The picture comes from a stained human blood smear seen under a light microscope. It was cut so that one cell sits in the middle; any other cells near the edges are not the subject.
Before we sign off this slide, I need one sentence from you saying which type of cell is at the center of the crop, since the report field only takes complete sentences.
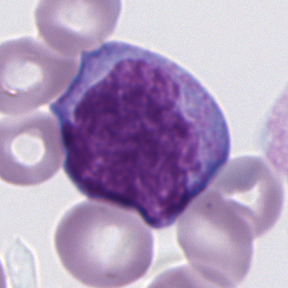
The middle of this crop is occupied by a promyelocyte.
